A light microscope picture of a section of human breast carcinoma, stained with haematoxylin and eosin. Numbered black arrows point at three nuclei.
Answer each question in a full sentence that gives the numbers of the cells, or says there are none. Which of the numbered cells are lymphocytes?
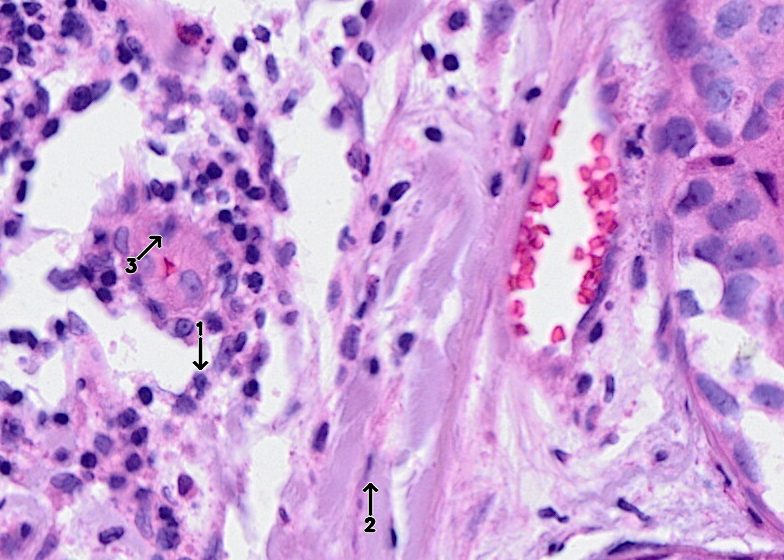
Of the numbered nuclei, only the one labelled 1 belongs to a lymphocyte.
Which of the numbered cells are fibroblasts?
Among the cells marked with numbers, the only one that is a fibroblast is number 2.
